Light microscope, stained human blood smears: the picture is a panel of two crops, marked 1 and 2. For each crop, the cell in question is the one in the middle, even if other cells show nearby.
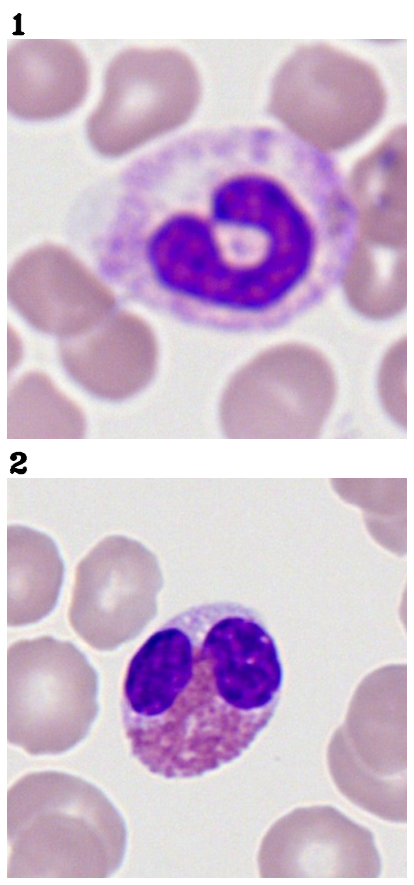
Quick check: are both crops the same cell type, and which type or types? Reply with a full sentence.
No, a band neutrophil is what crop 1 shows, and an eosinophil is what crop 2 shows.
